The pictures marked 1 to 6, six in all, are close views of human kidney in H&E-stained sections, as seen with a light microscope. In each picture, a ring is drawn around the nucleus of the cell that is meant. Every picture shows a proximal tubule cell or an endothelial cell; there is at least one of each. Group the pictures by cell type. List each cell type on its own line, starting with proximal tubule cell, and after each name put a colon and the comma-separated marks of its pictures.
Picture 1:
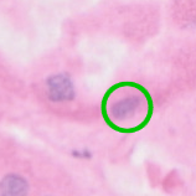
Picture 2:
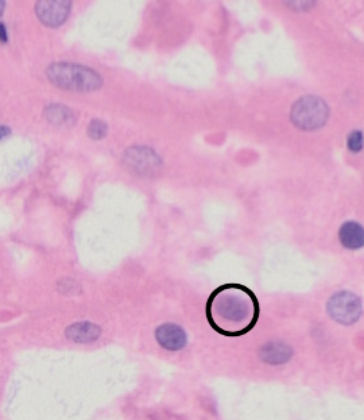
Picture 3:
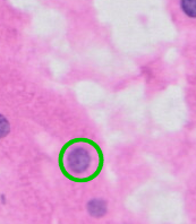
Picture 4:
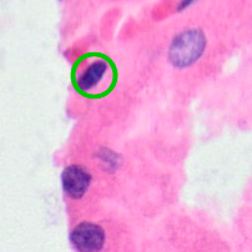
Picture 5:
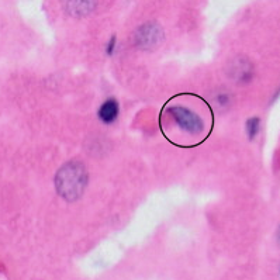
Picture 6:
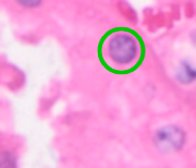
proximal tubule cell: 1, 2, 3, 6
endothelial cell: 4, 5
